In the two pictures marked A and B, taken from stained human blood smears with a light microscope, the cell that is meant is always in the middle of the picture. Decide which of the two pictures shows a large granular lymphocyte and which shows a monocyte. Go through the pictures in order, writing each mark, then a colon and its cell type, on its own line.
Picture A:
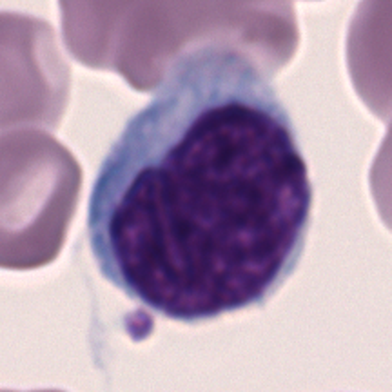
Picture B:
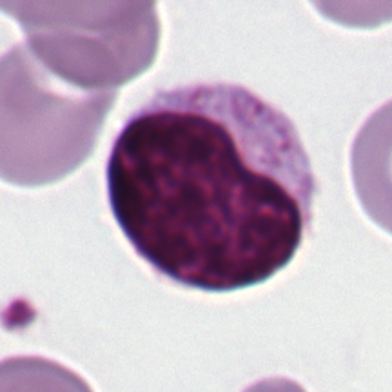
A: monocyte
B: large granular lymphocyte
